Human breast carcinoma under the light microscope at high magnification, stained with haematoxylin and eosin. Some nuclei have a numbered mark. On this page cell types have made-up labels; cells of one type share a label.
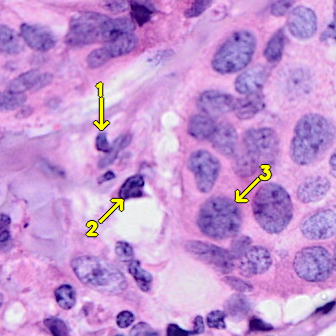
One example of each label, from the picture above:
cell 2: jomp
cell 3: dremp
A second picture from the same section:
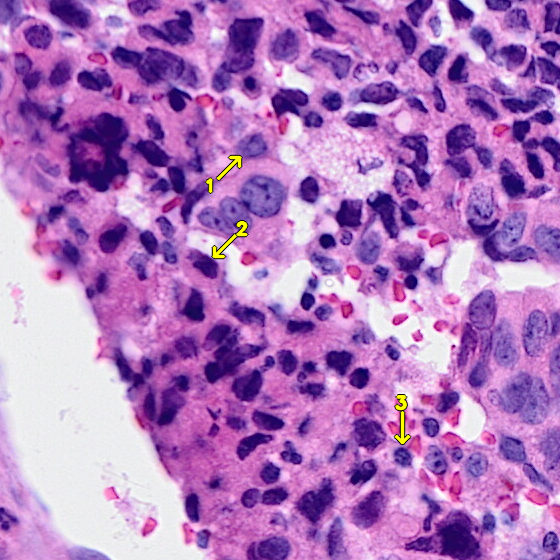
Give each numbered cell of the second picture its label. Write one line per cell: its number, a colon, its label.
1: dremp
2: dremp
3: jomp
